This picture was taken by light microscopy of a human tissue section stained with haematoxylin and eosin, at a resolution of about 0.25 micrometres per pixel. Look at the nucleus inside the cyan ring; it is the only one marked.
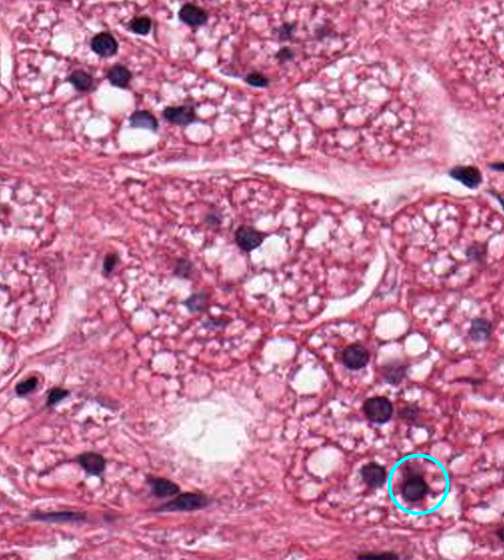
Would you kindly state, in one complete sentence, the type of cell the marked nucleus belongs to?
The cell containing the marked nucleus is an adrenal cortical cell.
